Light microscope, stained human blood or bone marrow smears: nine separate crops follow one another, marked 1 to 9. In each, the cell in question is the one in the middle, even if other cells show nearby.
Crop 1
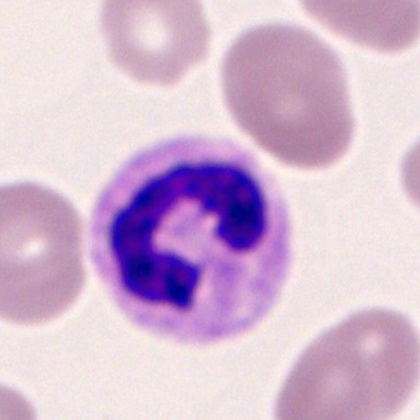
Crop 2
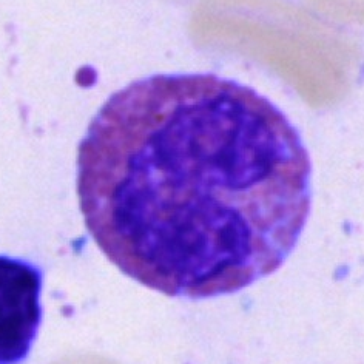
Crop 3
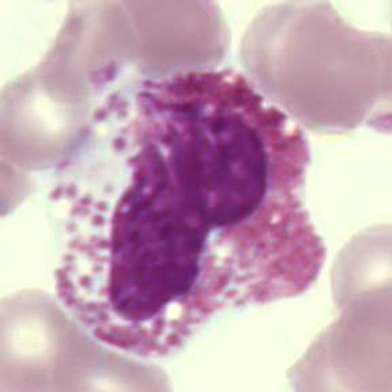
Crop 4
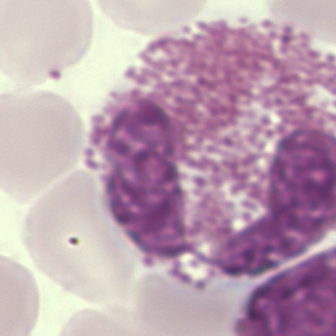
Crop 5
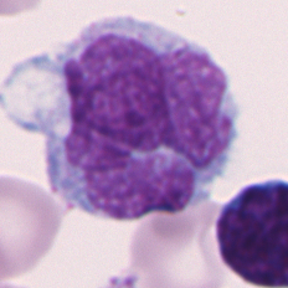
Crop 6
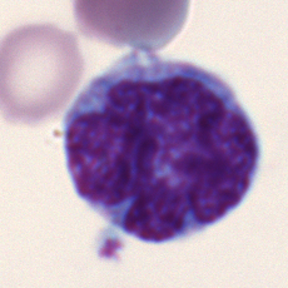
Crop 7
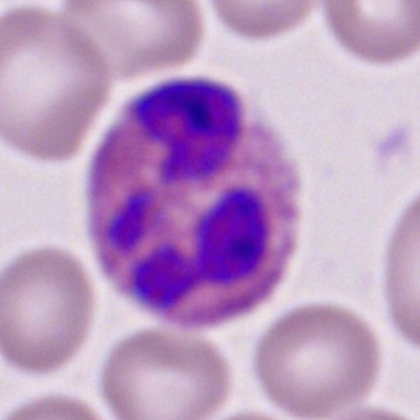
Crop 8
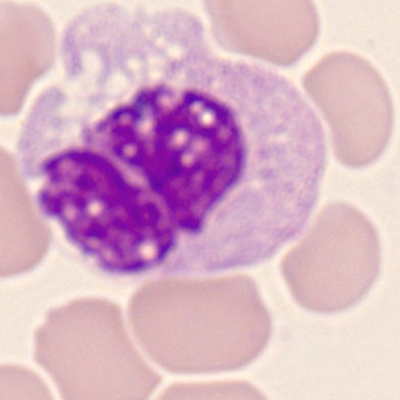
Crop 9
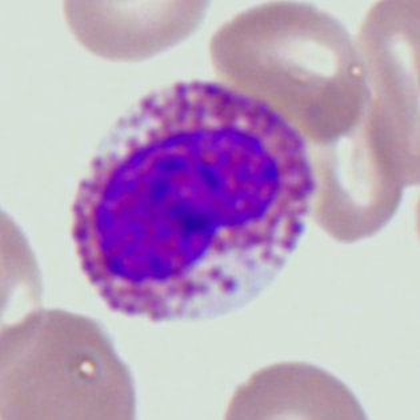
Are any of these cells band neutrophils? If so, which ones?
1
